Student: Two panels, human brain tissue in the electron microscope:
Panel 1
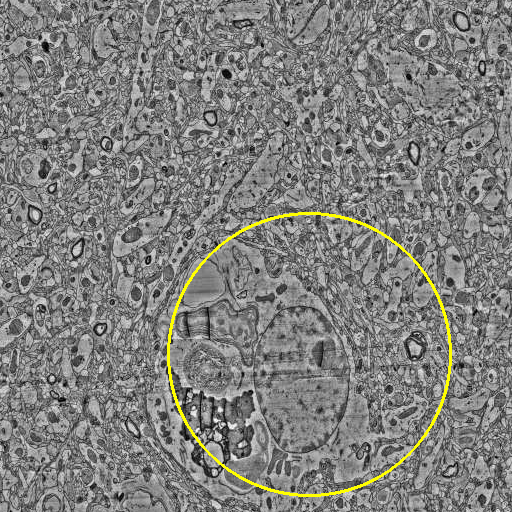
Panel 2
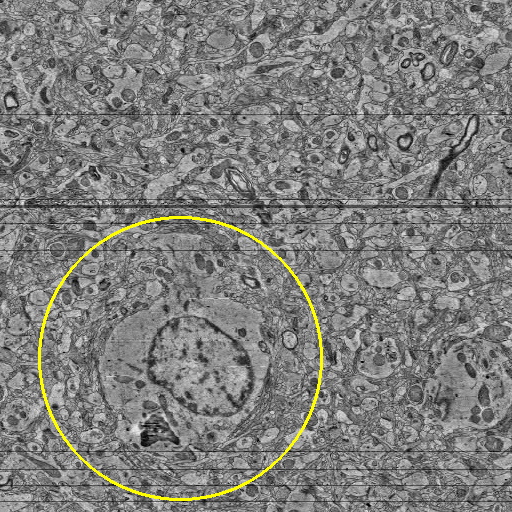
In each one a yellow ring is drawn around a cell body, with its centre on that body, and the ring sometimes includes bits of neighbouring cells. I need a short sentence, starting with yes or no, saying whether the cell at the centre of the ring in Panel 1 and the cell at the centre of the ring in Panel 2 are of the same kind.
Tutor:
Yes, they are the same kind of cell.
